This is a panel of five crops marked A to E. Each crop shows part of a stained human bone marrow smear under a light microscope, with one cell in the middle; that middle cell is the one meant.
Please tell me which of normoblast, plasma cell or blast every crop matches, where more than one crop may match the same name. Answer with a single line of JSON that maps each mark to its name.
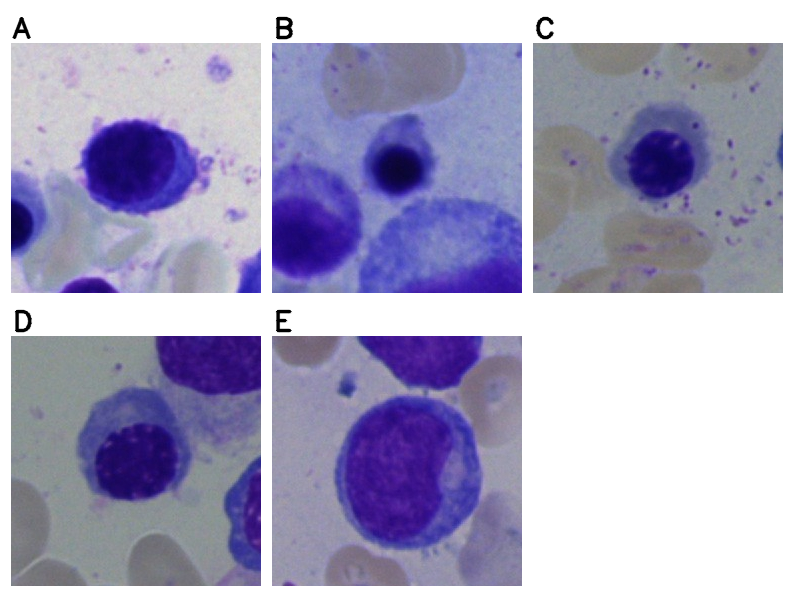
{"A": "plasma cell", "B": "normoblast", "C": "normoblast", "D": "normoblast", "E": "blast"}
